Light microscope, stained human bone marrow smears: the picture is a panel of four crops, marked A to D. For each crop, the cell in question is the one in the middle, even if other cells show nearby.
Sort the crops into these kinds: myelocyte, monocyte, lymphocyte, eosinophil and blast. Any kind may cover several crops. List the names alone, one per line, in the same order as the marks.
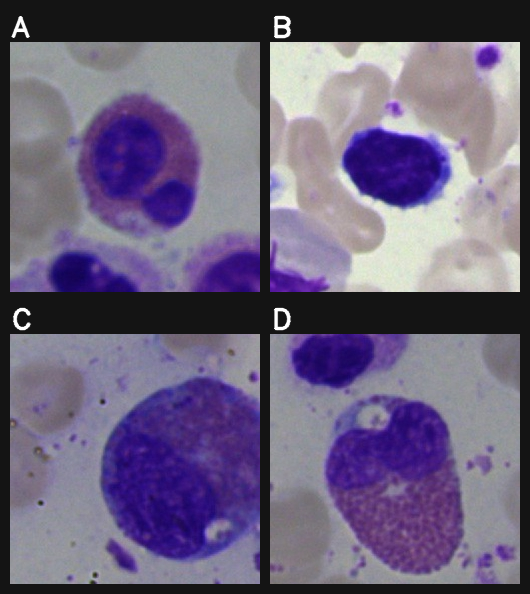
eosinophil
lymphocyte
eosinophil
eosinophil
